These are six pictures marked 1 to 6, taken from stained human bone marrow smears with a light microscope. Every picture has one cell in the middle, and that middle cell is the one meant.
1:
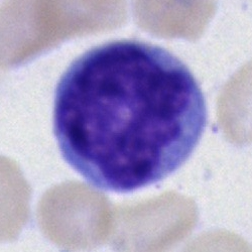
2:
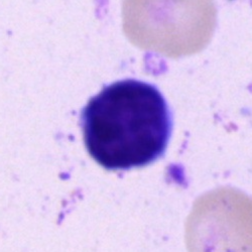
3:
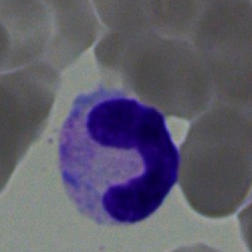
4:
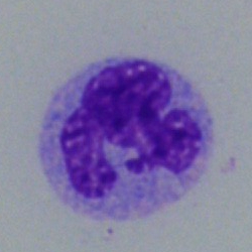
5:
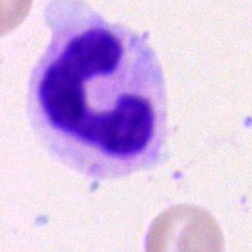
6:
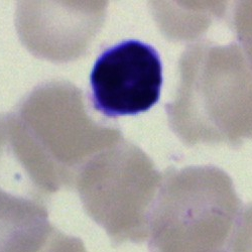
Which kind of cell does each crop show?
1: monocyte
2: lymphocyte
3: band neutrophil
4: monocyte
5: band neutrophil
6: lymphocyte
